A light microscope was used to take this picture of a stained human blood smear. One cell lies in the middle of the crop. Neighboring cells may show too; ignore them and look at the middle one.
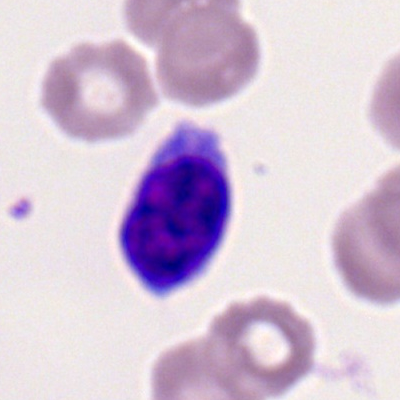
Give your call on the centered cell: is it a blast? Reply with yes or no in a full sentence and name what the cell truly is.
No; rather than a blast, the cell at the center is a lymphocyte.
